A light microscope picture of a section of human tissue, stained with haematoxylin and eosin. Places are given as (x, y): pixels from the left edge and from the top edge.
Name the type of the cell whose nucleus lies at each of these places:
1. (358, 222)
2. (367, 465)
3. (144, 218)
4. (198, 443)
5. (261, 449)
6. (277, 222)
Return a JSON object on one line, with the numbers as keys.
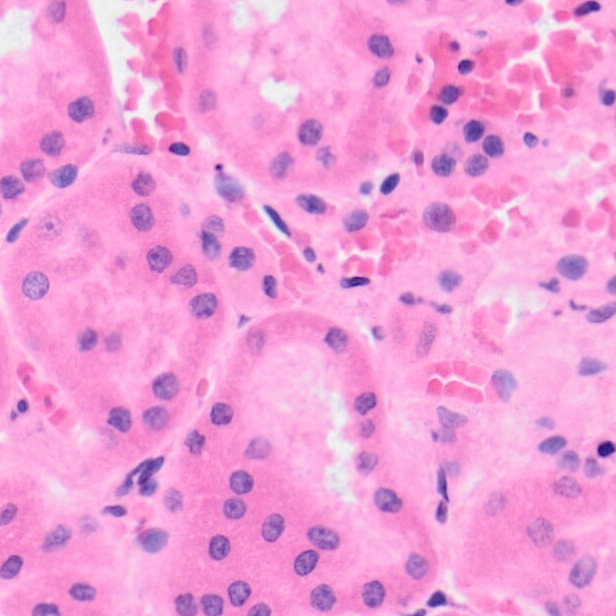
{"1": "endothelial cell", "2": "proximal tubule cell", "3": "proximal tubule cell", "4": "proximal tubule cell", "5": "proximal tubule cell", "6": "endothelial cell"}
